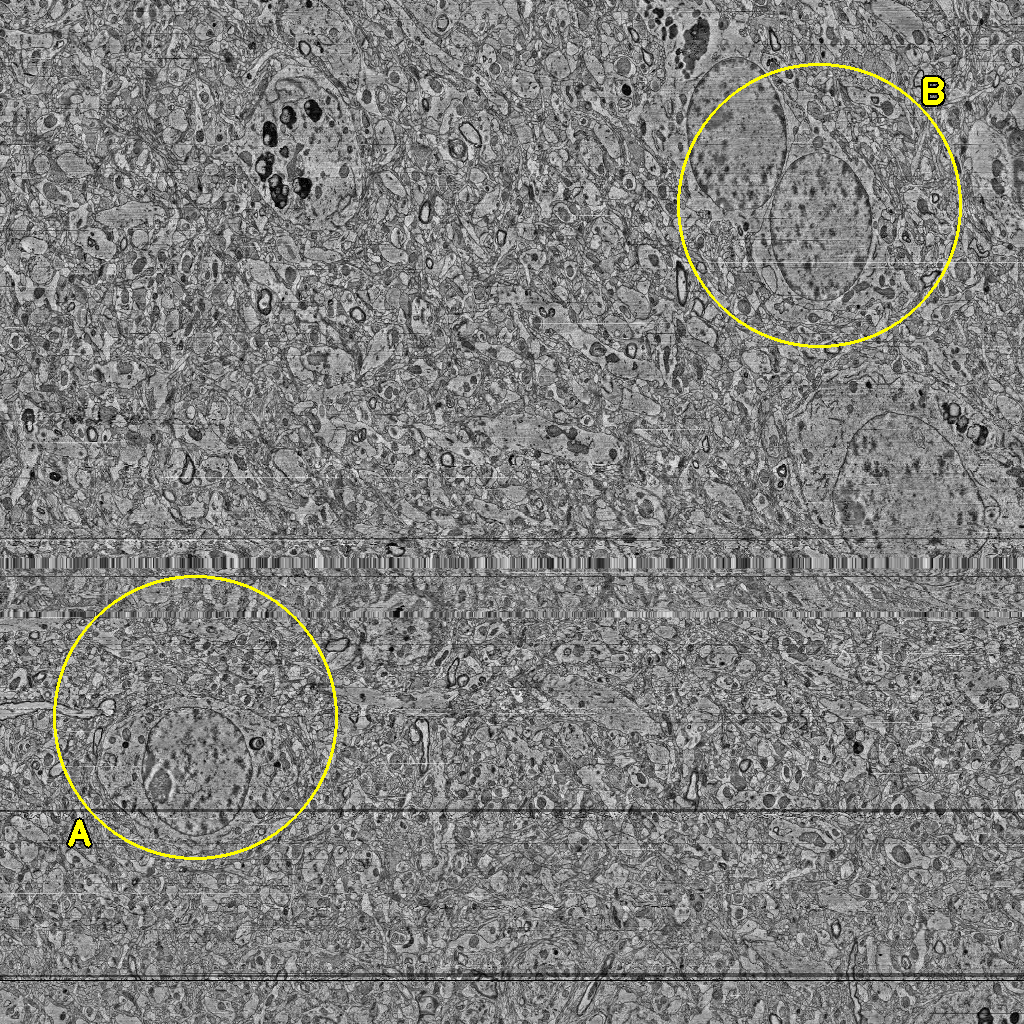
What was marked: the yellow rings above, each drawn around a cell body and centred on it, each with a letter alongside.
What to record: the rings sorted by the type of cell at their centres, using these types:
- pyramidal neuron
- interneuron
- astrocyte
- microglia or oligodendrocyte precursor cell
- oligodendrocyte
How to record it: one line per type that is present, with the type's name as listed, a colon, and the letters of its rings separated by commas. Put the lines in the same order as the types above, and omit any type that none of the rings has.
pyramidal neuron: A
astrocyte: B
